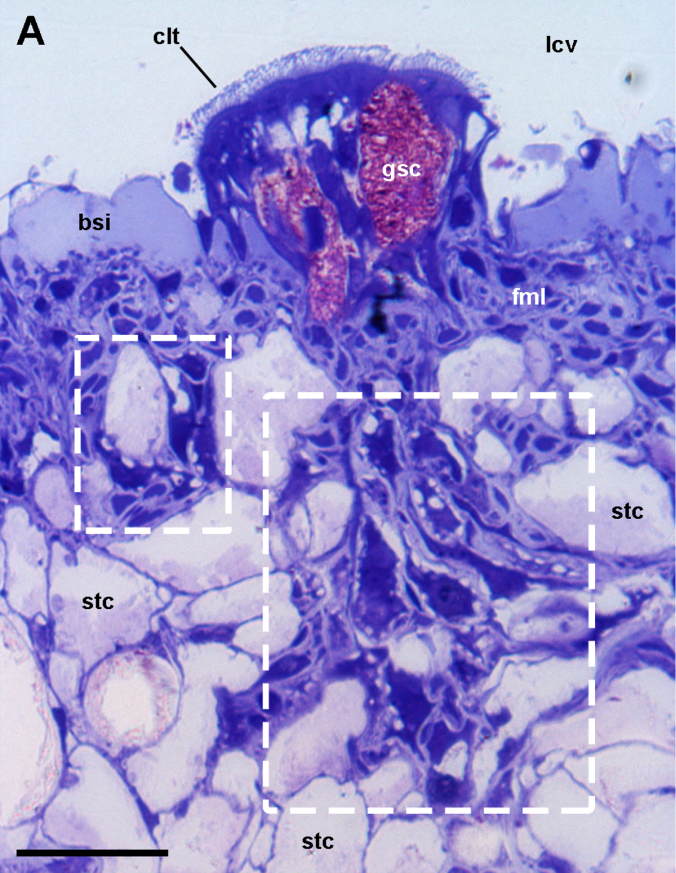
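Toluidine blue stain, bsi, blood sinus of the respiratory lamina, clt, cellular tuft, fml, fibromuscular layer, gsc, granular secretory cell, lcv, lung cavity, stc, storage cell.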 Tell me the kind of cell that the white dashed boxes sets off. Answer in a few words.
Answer: Rhogocyte clusters.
